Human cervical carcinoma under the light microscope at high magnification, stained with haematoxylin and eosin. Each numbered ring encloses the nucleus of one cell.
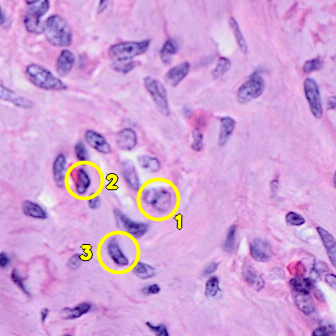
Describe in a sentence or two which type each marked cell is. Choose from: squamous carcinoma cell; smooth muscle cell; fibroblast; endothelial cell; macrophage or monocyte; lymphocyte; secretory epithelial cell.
Cells 1 and 2 are endothelial cells. Cell 3 is a fibroblast.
